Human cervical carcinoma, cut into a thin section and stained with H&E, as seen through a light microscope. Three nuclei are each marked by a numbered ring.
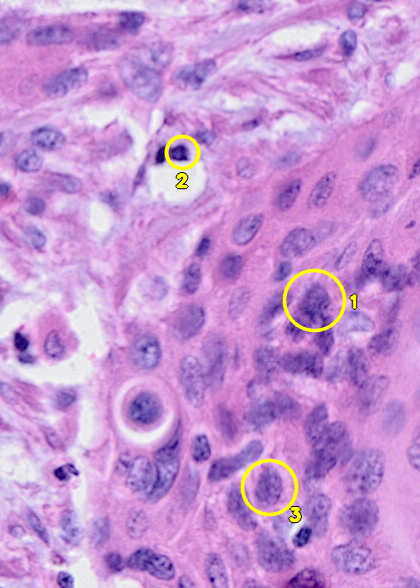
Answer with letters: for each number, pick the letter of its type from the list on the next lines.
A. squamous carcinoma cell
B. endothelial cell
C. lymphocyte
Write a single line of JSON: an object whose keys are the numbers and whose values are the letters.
{"1": "A", "2": "C", "3": "A"}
